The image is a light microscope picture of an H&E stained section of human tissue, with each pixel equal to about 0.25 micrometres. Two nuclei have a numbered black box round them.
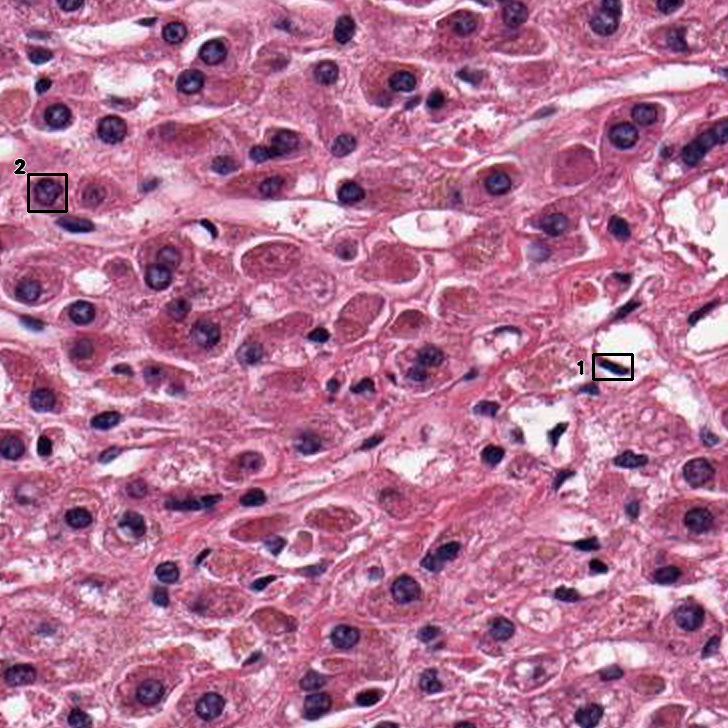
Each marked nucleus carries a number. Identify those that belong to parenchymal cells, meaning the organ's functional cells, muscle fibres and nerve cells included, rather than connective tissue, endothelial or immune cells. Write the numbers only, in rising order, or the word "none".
2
